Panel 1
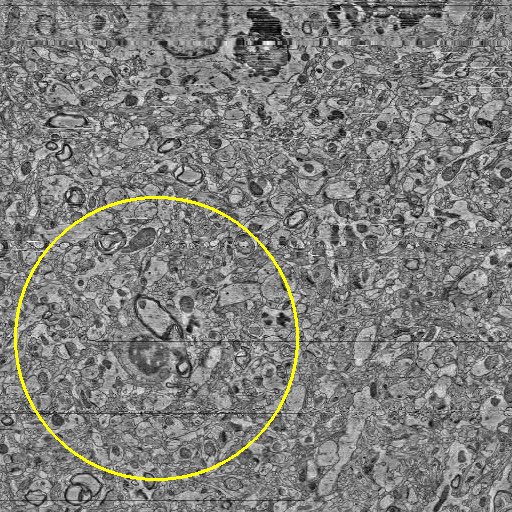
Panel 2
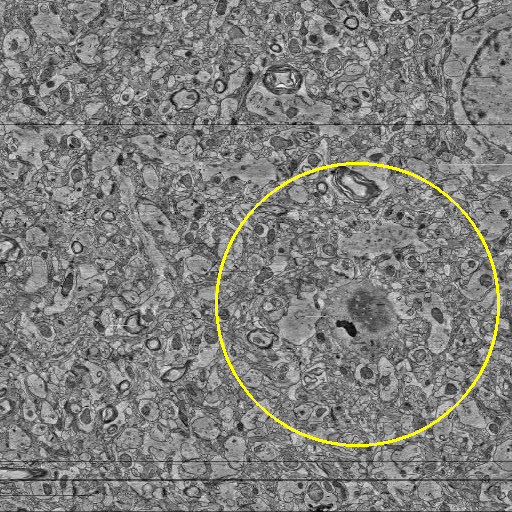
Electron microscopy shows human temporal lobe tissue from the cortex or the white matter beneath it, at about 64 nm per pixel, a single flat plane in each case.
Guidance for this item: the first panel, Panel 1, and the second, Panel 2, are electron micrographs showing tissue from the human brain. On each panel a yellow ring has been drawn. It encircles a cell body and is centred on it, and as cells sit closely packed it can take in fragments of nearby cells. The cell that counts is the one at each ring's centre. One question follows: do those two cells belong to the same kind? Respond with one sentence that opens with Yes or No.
Yes, the cells at the ring centres in Panel 1 and Panel 2 are of one kind.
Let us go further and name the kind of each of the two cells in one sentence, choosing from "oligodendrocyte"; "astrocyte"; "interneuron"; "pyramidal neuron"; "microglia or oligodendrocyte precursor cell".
In each of the two pictures, the ringed cell is an oligodendrocyte.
